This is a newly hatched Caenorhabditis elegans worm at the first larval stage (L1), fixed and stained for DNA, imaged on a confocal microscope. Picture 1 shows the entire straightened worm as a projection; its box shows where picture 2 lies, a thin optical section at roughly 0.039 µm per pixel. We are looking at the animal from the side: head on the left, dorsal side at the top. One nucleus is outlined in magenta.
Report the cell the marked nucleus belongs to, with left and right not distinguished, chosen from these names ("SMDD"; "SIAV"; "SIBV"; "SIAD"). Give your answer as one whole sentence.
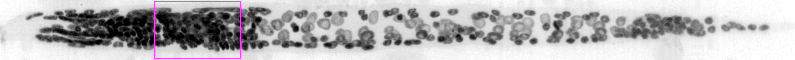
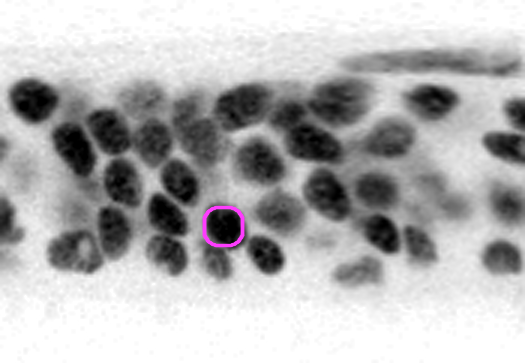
The marked nucleus belongs to SIAD, a neuron.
